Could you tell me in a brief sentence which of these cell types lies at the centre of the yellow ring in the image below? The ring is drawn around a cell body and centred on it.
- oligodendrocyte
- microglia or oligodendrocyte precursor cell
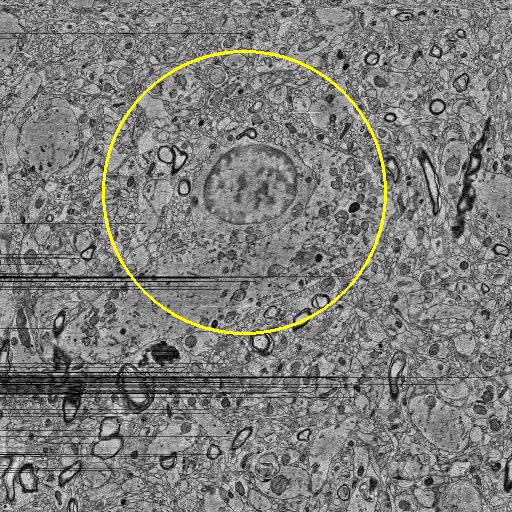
The cell centred in the ring is an oligodendrocyte.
